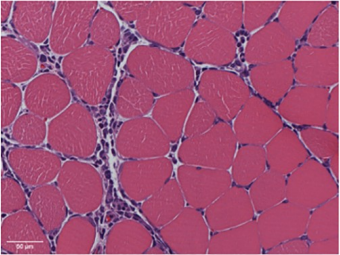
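Skeletal muscle cut across, showing inflammation between the muscle fibres. The spaces between fibres are widened and pale, and they are crowded with many small cells whose dark purple, round to oval nuclei stand out against the pink fibres. These basophilic cells gather most densely where several fibres meet and along the wider gaps, forming bands that separate the fibres into small groups, unlike the tight packing of normal muscle.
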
